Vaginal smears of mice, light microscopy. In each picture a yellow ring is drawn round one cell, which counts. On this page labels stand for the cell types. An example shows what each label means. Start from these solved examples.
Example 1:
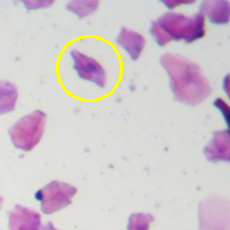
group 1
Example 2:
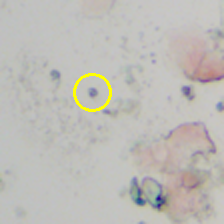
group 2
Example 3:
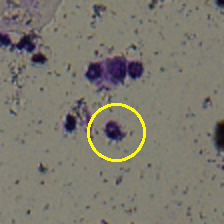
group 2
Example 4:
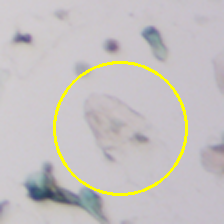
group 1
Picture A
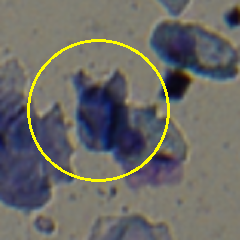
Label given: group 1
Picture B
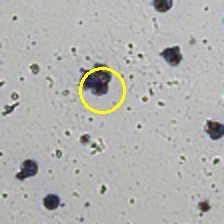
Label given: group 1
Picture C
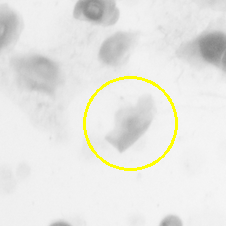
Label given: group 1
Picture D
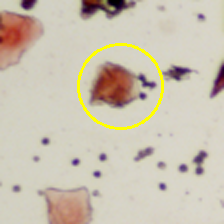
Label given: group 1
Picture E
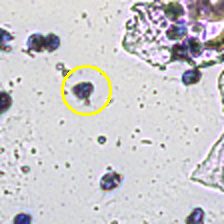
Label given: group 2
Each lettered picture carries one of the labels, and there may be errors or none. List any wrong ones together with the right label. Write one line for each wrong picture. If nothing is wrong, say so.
B should be group 2, not group 1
